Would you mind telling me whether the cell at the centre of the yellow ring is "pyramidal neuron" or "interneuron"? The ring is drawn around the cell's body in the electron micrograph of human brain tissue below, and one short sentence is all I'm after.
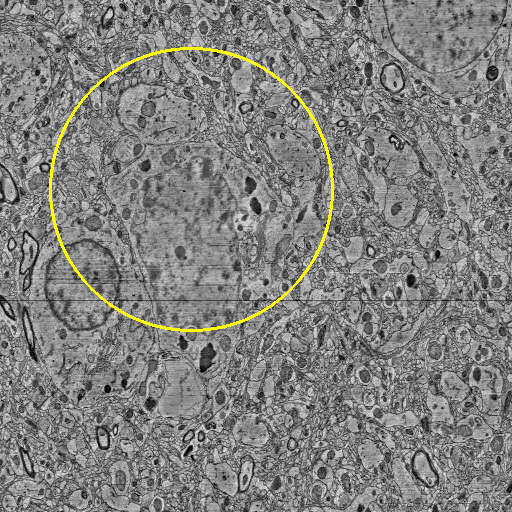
In the centre of the ring lies an interneuron.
